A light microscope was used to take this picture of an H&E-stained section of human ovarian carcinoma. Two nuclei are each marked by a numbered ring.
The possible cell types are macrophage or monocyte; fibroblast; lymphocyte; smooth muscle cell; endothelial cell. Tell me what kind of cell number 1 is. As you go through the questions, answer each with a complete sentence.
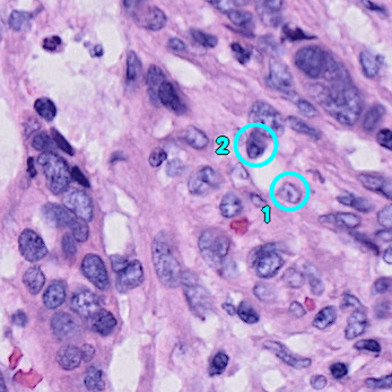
The cell pointed out as number 1 is a fibroblast.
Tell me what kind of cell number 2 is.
The cell carrying label 2 is identified as a lymphocyte.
